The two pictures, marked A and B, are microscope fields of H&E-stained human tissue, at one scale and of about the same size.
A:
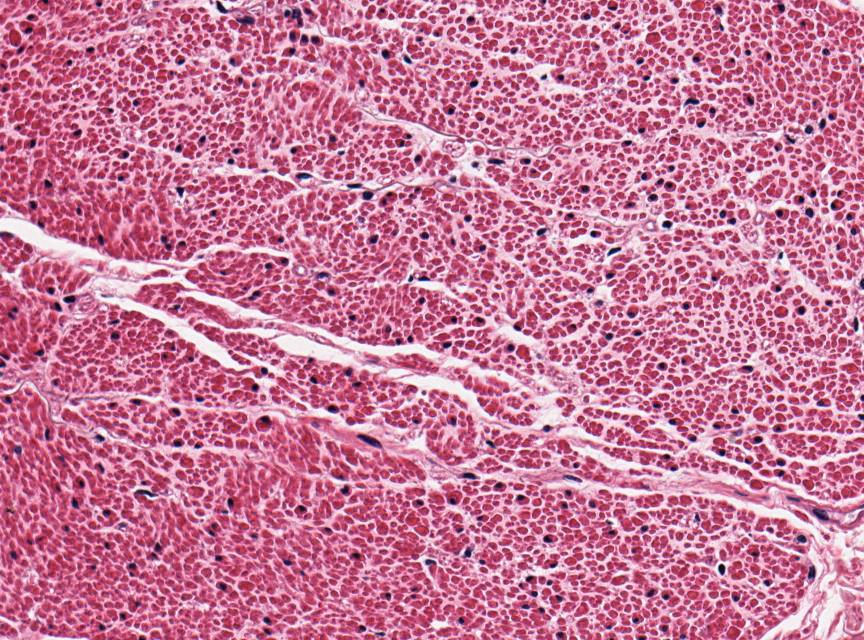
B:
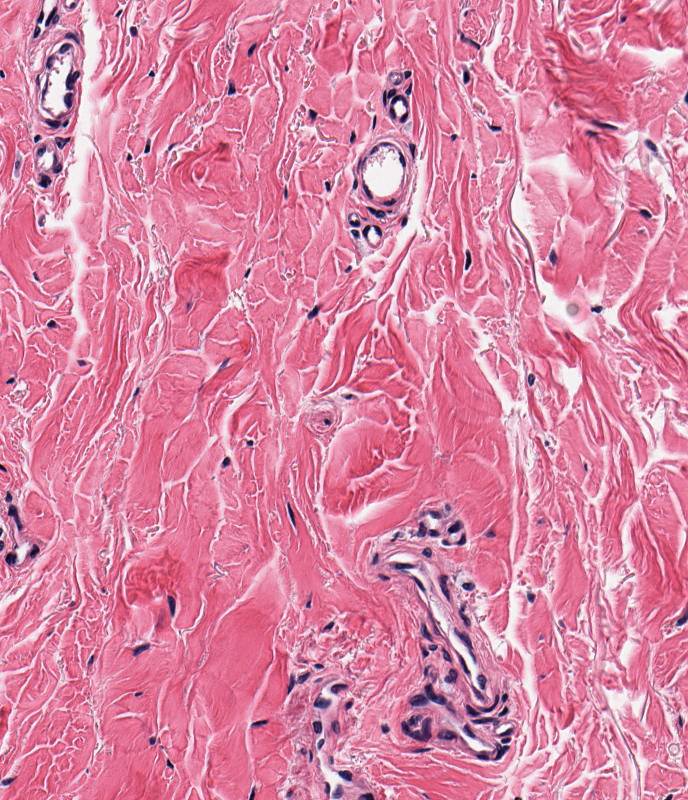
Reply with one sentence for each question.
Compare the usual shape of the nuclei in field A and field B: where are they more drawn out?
On the whole the nuclei of field B are more drawn out than those of field A.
